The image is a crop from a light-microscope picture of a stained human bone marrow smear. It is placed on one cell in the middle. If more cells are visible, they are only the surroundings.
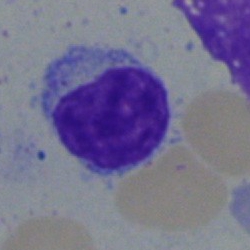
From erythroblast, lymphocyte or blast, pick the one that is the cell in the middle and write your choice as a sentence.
In short, the cell at the center is a lymphocyte.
